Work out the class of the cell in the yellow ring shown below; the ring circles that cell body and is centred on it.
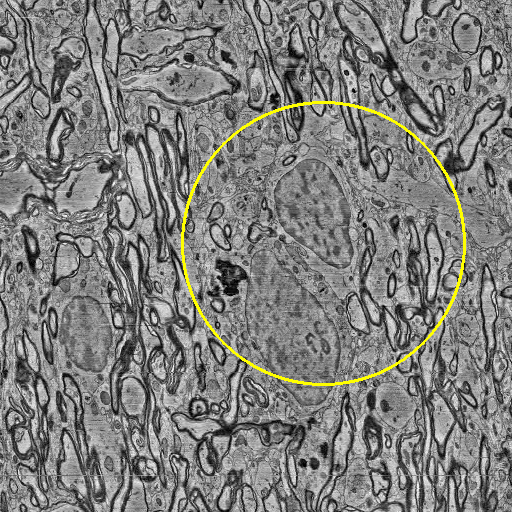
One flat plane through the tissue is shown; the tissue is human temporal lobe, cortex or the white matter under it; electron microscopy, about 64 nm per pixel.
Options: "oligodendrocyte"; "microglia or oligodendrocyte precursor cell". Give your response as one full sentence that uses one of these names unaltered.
The body ringed in yellow, right at the ring's centre, is that of a microglial cell or oligodendrocyte precursor cell.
